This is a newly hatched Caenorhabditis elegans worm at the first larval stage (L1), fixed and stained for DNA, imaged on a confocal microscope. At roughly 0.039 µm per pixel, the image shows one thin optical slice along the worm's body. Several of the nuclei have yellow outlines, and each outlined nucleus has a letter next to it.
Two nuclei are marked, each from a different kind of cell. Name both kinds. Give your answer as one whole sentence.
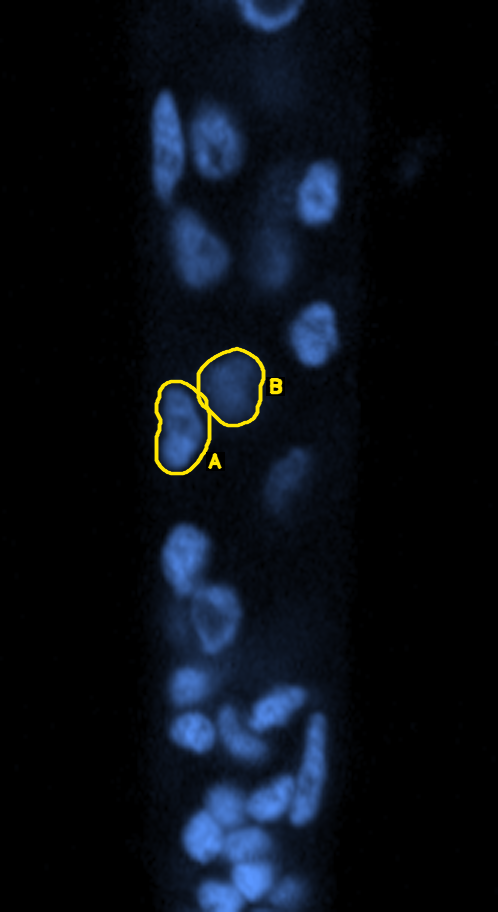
A is from a body wall muscle cell, and B is from a seam cell.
